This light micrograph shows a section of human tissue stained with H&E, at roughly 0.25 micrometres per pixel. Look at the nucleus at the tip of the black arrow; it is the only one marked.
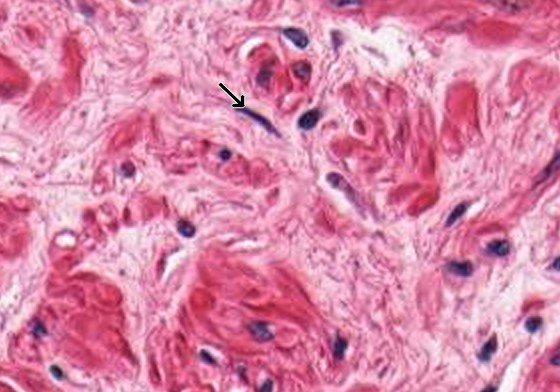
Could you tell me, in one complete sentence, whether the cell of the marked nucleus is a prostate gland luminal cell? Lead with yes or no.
No, the nucleus that is marked belongs to a supporting cell rather than to a prostate gland luminal cell.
